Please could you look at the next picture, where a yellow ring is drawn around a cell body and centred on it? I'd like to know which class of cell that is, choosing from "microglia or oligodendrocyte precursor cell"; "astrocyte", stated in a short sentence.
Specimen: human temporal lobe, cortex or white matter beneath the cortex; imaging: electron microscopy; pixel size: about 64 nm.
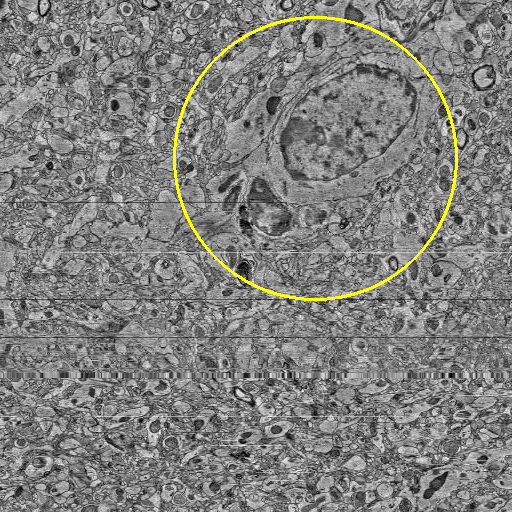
The ring's centre lies on a microglial cell or oligodendrocyte precursor cell.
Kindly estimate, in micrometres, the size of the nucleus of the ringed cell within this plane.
About 10 by 6 micrometers; the nucleus is clearly longer than it is wide in this plane.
